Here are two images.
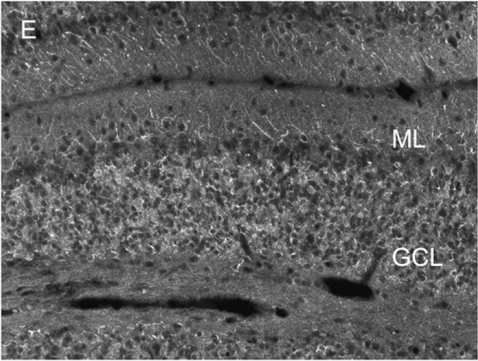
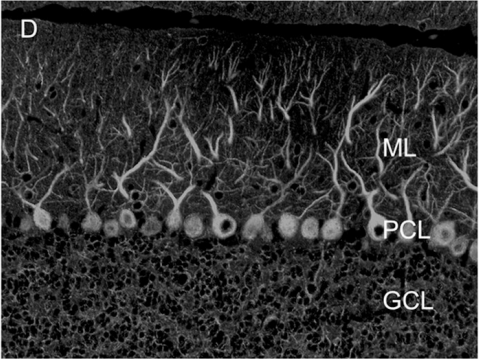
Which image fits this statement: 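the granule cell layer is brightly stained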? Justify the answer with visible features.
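First image: the lower layer of small packed cells shows bright, speckled staining. Second image: the layer of small packed cells is darker than the dendrites and cell bodies above it. That points to this answer: the first image.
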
